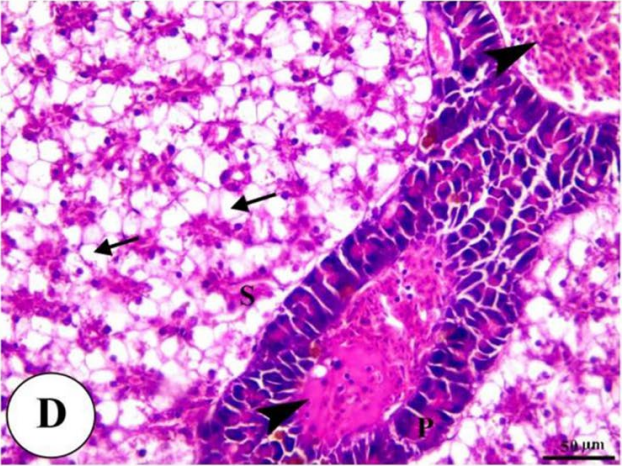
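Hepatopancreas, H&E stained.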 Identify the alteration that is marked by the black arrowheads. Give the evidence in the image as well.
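Vessel lumens are packed with red-pink blood. A large vessel at the upper right is filled with red cells. So: congestion of blood vessels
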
